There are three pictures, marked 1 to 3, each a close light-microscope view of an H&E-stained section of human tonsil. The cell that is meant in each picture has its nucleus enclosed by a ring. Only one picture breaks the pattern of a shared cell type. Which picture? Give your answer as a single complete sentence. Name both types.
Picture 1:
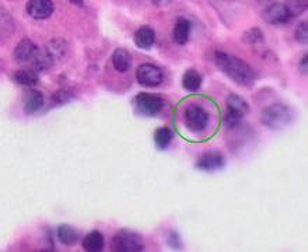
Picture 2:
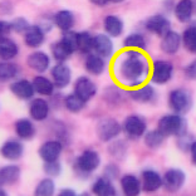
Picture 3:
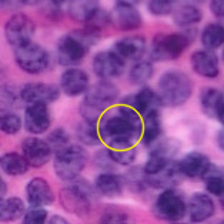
The different one is picture 1; it shows a plasma cell, whereas all the others show small lymphocytes.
